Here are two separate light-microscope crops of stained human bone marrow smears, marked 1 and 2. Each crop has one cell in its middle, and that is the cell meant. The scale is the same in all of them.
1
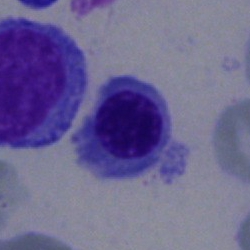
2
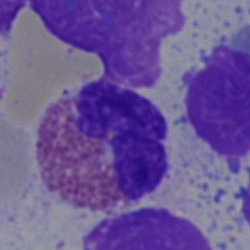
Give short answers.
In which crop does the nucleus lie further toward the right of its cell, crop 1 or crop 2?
2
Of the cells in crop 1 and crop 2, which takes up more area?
2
